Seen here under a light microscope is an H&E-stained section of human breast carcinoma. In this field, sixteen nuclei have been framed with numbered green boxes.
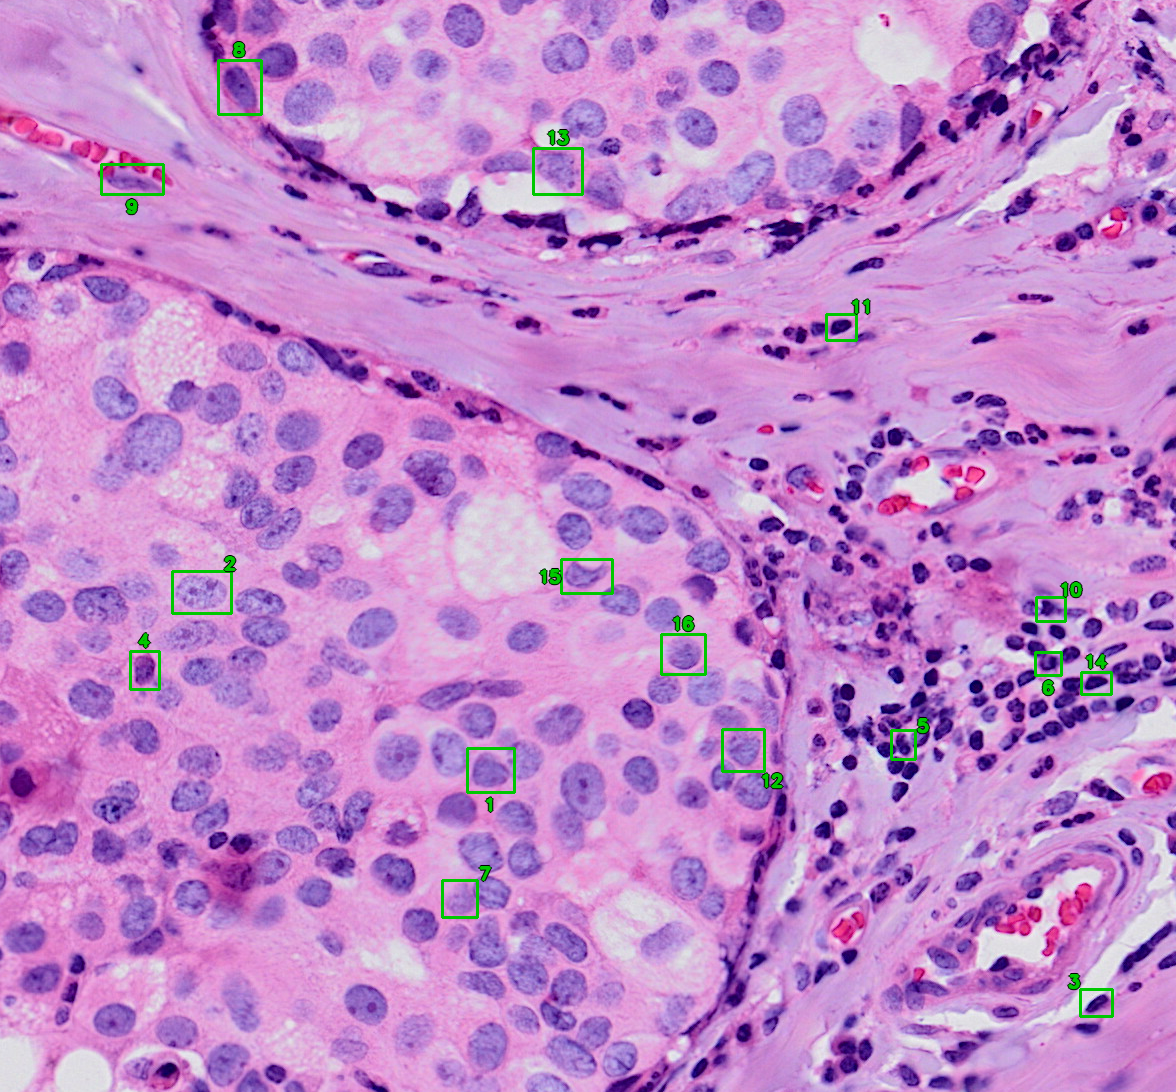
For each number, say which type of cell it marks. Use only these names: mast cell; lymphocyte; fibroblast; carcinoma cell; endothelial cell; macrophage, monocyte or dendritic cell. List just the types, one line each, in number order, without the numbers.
carcinoma cell
carcinoma cell
lymphocyte
carcinoma cell
lymphocyte
lymphocyte
carcinoma cell
carcinoma cell
endothelial cell
lymphocyte
lymphocyte
carcinoma cell
carcinoma cell
lymphocyte
carcinoma cell
carcinoma cell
